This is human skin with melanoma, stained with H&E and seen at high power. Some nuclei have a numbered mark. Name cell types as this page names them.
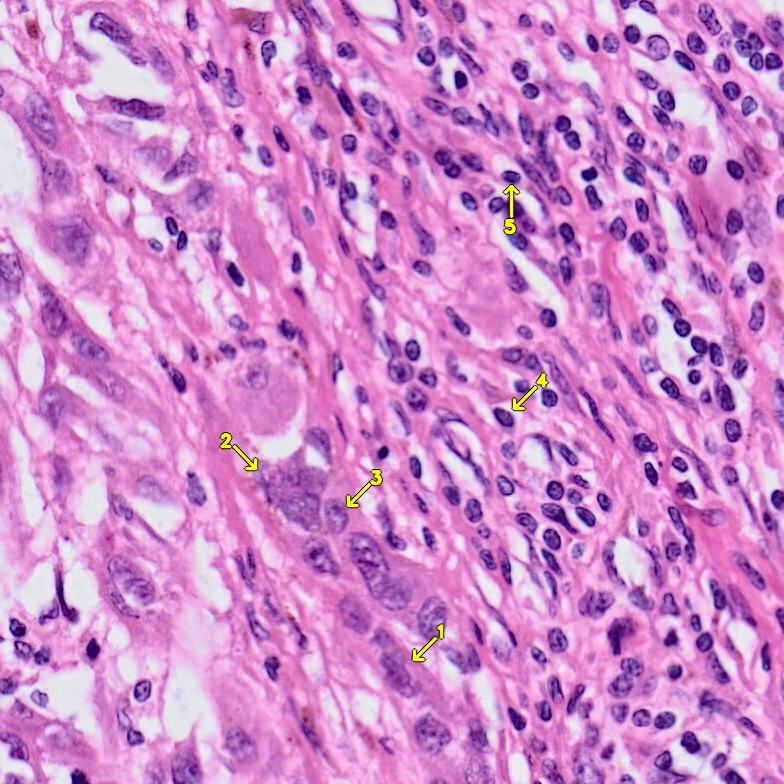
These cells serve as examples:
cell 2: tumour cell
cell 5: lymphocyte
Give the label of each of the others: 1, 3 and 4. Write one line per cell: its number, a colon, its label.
1: tumour cell
3: tumour cell
4: lymphocyte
